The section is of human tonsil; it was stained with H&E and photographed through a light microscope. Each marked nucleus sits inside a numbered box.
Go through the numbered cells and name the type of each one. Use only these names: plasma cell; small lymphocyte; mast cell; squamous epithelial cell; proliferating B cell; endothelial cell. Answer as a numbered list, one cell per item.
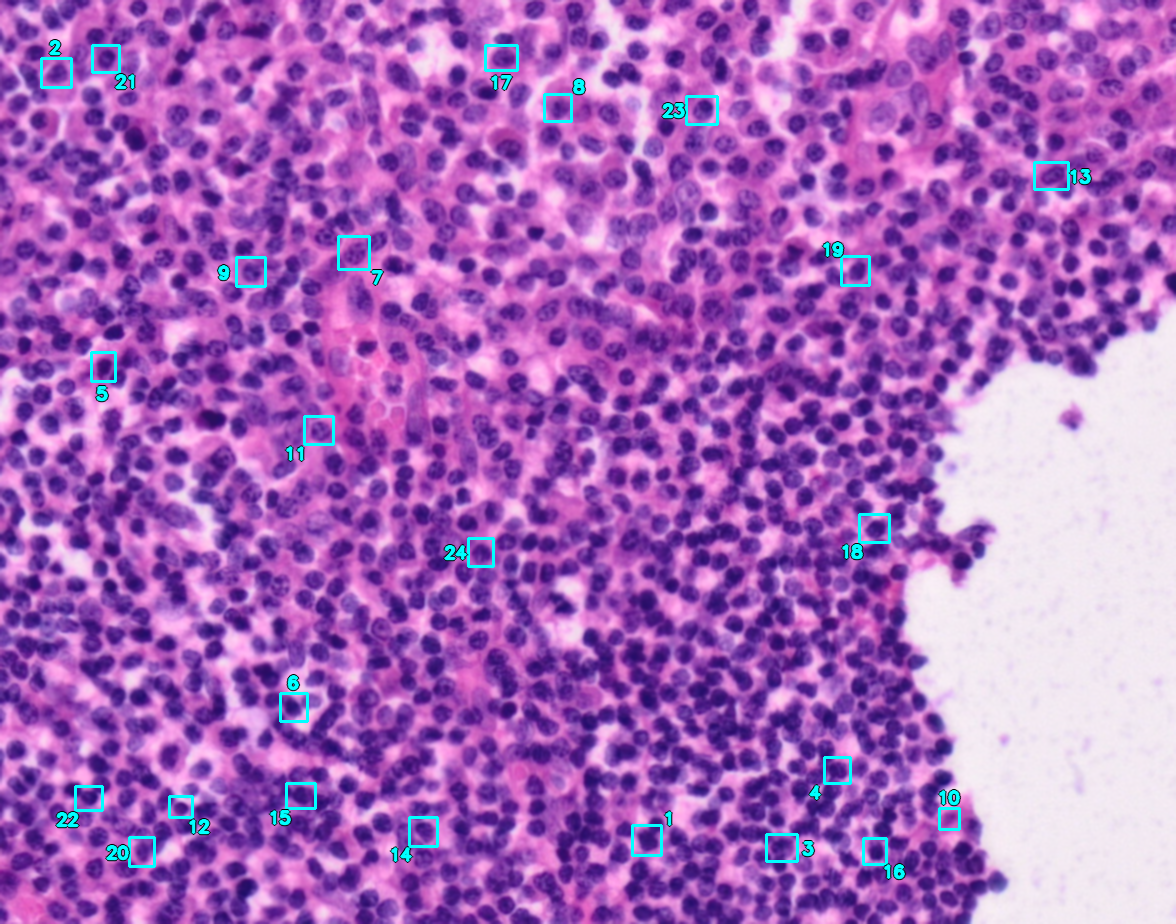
1. small lymphocyte
2. plasma cell
3. small lymphocyte
4. small lymphocyte
5. plasma cell
6. small lymphocyte
7. plasma cell
8. plasma cell
9. plasma cell
10. endothelial cell
11. plasma cell
12. small lymphocyte
13. plasma cell
14. small lymphocyte
15. small lymphocyte
16. small lymphocyte
17. plasma cell
18. small lymphocyte
19. plasma cell
20. small lymphocyte
21. plasma cell
22. small lymphocyte
23. plasma cell
24. plasma cell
